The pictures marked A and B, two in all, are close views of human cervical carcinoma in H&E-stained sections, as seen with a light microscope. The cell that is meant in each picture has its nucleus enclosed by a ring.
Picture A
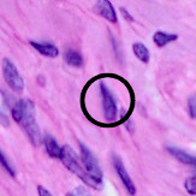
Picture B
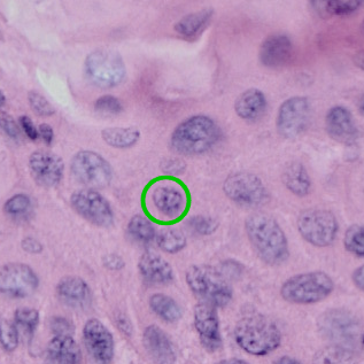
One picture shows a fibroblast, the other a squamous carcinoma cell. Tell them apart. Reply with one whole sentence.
Picture A shows a fibroblast and picture B shows a squamous carcinoma cell.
